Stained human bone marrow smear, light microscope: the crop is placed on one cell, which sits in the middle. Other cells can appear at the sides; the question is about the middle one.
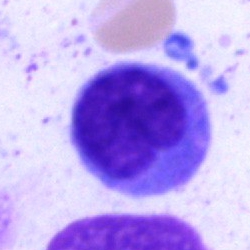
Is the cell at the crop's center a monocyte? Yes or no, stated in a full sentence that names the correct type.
Yes, the cell occupying the middle of the crop is a monocyte.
